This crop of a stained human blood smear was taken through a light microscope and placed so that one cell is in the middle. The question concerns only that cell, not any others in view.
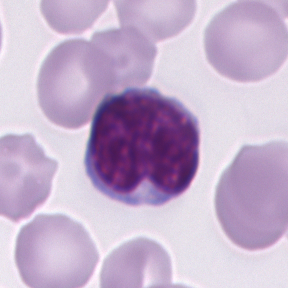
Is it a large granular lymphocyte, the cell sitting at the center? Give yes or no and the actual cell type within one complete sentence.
No, the central cell is not a large granular lymphocyte; it is a typical lymphocyte instead.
